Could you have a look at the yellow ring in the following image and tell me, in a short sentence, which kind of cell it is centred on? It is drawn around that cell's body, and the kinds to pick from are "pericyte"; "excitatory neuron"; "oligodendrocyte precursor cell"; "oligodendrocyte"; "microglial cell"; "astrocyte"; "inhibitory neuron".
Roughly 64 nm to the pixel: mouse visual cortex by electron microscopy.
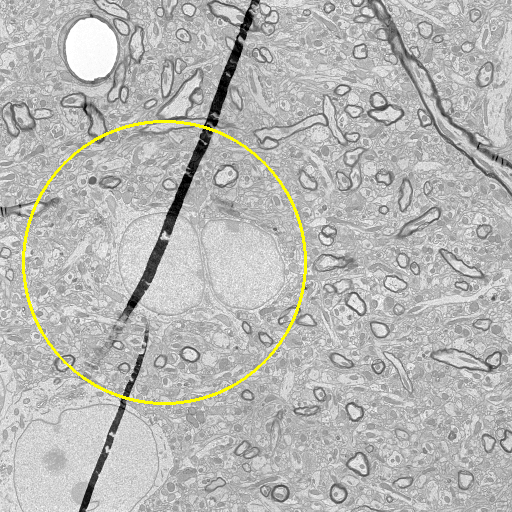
The ring is centred on the body of an astrocyte.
